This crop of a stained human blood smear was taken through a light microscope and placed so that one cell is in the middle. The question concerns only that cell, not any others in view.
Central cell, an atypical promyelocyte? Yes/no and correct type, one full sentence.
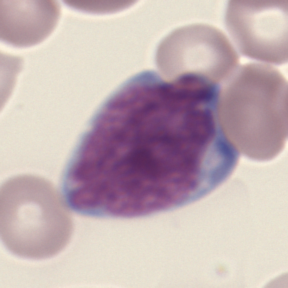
No, a myeloblast, not an atypical promyelocyte, is what sits in the centre of the crop.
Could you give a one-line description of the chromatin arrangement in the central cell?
The chromatin pattern is fine and free of coarse clumps.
